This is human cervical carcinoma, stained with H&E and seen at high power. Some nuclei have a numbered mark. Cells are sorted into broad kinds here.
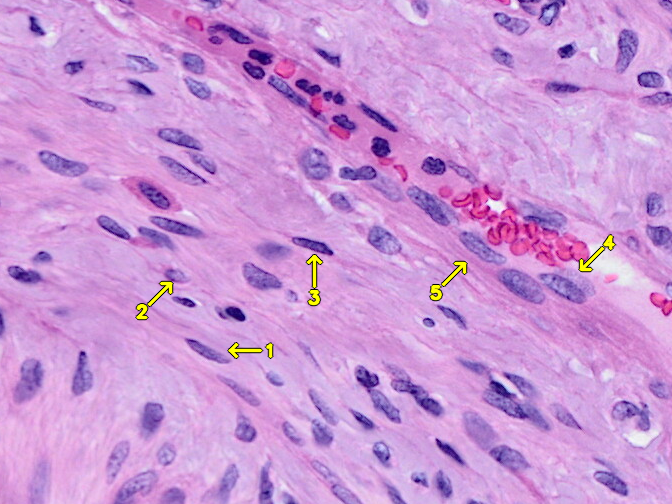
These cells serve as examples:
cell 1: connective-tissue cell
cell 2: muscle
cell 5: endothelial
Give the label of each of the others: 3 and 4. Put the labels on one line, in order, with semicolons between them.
connective-tissue cell; endothelial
